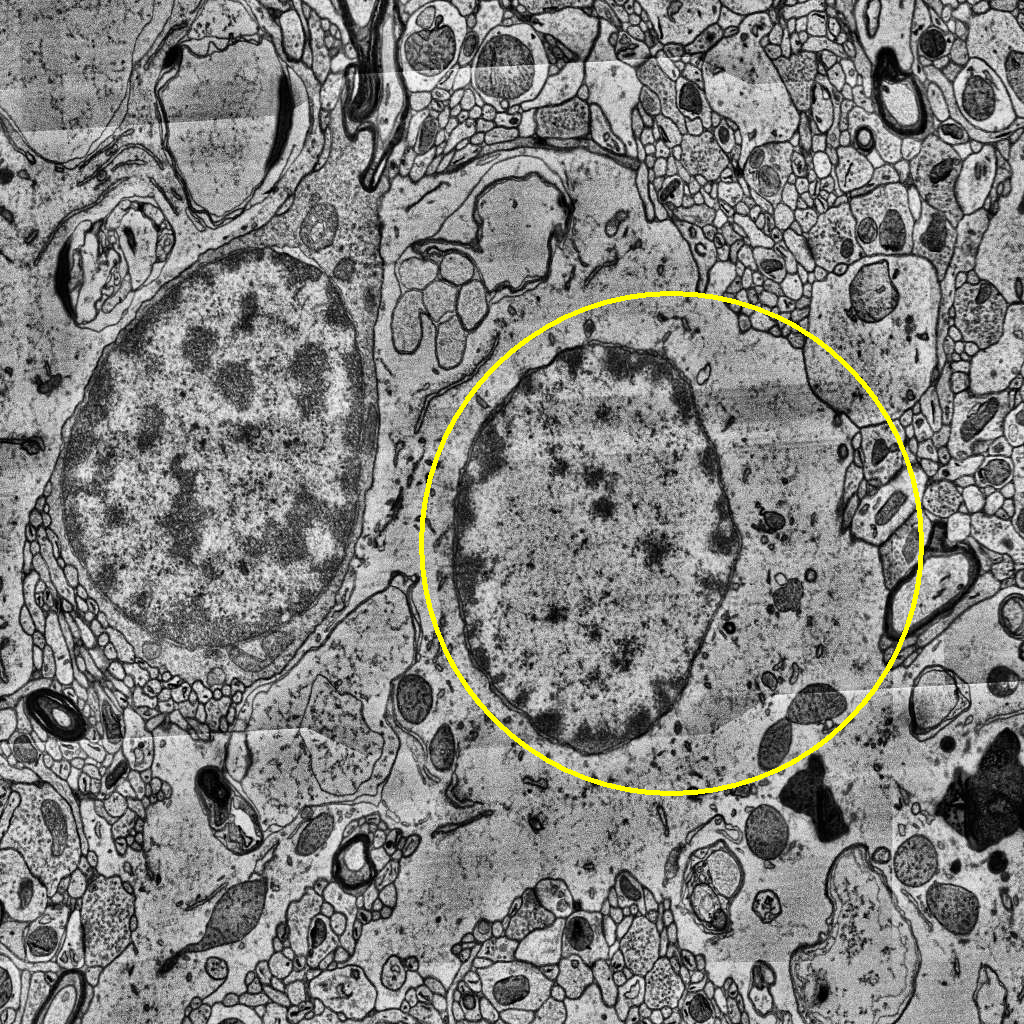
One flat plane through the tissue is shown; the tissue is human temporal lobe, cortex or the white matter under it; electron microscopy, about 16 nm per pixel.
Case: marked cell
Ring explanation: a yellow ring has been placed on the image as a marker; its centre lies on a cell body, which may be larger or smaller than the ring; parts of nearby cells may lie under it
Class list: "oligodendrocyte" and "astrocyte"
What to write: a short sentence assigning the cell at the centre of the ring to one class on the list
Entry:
The cell at the ring's centre is an astrocyte.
